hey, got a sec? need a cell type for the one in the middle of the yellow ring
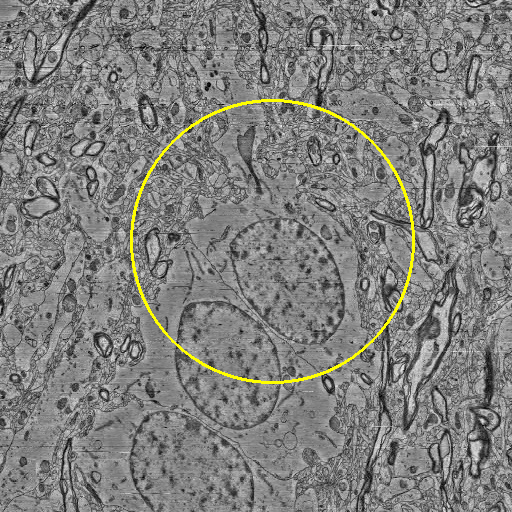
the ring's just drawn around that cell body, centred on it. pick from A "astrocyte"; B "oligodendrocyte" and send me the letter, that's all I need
A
